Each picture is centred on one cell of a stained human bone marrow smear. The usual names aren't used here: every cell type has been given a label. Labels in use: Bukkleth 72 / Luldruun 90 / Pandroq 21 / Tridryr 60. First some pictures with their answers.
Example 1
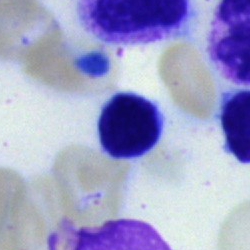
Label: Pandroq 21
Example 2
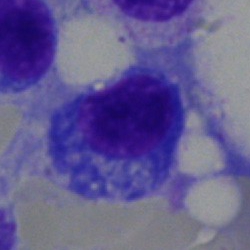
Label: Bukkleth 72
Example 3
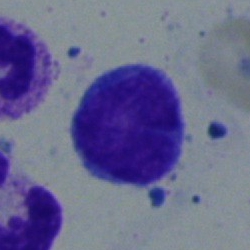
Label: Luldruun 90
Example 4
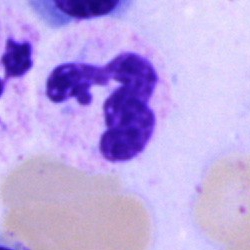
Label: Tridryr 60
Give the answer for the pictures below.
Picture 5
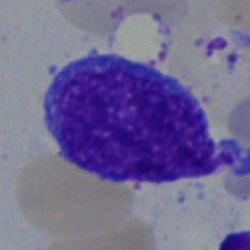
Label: Luldruun 90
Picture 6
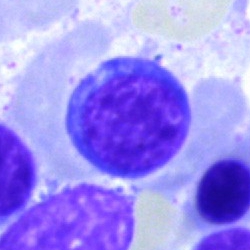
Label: Pandroq 21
